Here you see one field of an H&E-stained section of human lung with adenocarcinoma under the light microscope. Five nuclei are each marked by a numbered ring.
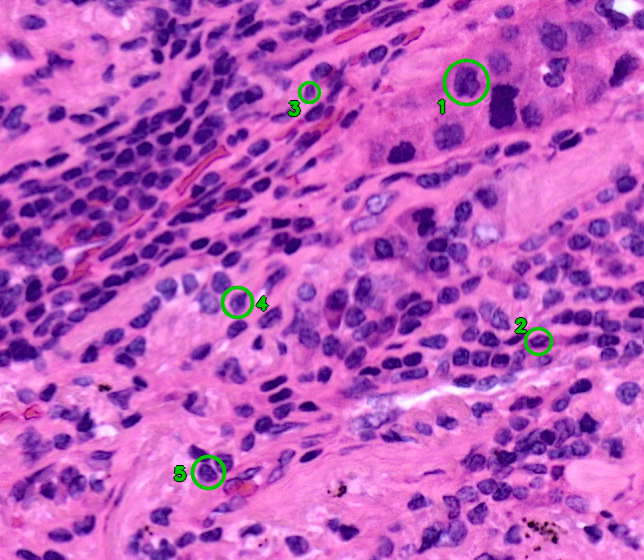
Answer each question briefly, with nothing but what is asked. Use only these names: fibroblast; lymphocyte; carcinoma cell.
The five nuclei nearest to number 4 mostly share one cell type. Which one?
lymphocyte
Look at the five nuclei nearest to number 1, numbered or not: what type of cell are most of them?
carcinoma cell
